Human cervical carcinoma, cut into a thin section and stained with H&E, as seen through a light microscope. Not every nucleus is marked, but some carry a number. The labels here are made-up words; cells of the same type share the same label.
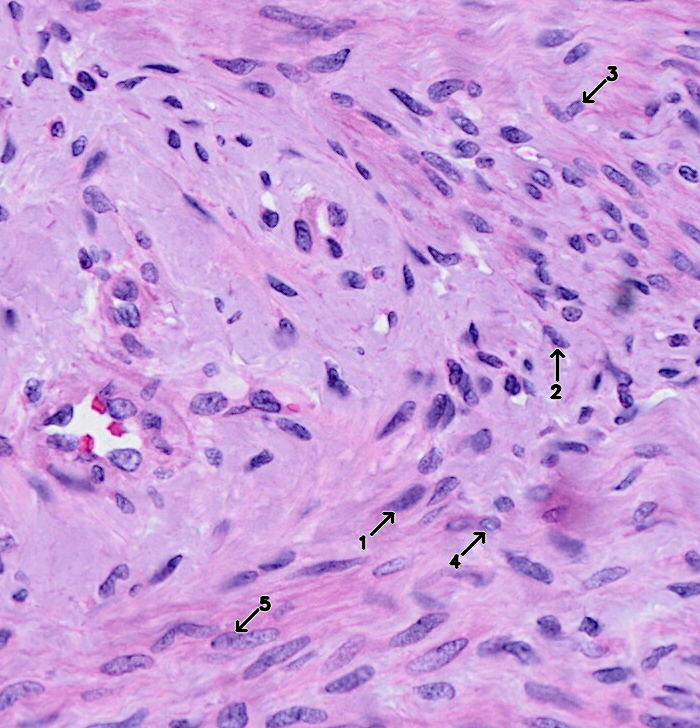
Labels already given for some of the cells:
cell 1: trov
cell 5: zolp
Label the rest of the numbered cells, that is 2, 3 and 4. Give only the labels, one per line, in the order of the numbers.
trov
zolp
zolp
